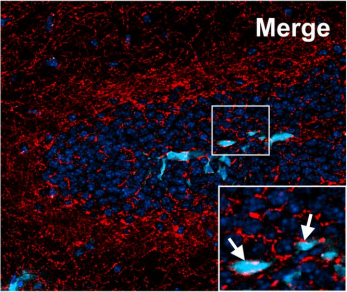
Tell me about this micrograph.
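A broad band of tightly packed small round blue nuclei crosses the field, forming the granular cell layer, with fewer nuclei in the tissue above and below. A fine red meshwork fills the surrounding layers and outlines small profiles among the cells.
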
